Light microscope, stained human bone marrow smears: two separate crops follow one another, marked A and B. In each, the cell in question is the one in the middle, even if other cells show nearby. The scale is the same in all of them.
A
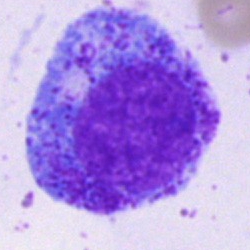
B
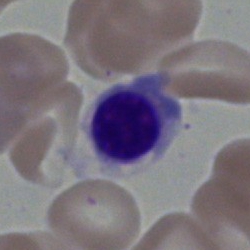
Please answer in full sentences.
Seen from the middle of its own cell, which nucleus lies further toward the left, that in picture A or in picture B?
In picture B the nucleus is shifted more toward the left.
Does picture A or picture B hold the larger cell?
Picture A holds the larger cell; it covers about 4 times the area of the cell in picture B.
